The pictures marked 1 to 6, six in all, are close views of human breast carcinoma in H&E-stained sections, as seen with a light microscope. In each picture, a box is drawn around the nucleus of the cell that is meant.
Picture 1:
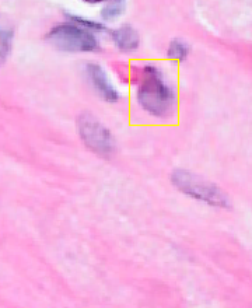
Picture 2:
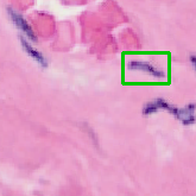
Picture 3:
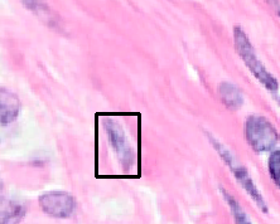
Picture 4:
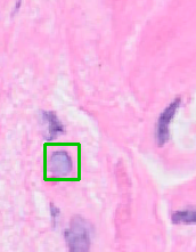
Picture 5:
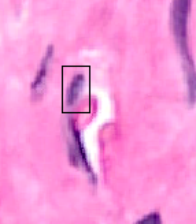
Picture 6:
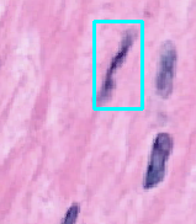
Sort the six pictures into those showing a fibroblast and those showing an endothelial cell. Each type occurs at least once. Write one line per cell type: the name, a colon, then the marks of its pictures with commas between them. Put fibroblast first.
fibroblast: 3, 6
endothelial cell: 1, 2, 4, 5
